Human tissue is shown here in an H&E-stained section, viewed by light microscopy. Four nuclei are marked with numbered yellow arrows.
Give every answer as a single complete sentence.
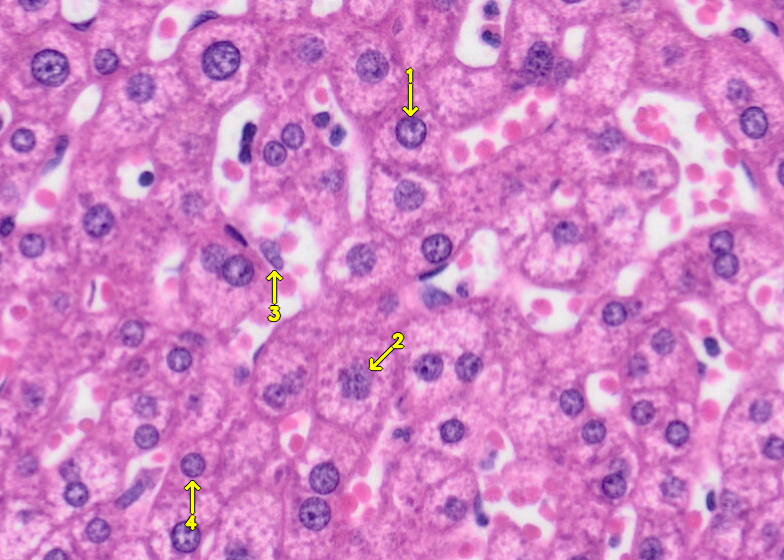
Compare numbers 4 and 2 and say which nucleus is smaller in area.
Nucleus 4 covers less area, with nucleus 2 about 2.5 times as large.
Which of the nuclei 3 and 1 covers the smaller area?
With nucleus 1 about 1.5 times its size, nucleus 3 is the smaller of the two.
